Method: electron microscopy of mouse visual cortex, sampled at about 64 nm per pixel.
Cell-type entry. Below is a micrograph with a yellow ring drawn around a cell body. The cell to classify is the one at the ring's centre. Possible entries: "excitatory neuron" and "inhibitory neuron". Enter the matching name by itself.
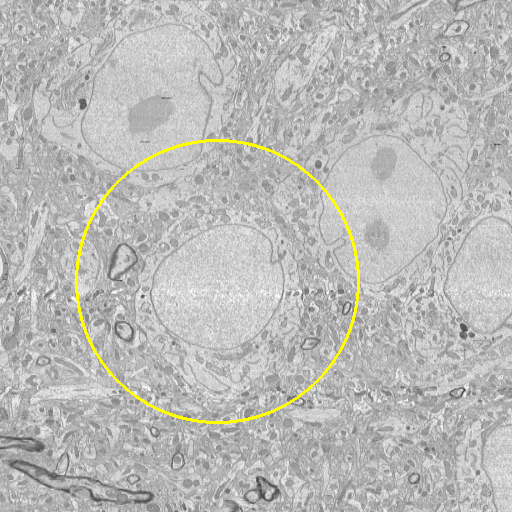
excitatory neuron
